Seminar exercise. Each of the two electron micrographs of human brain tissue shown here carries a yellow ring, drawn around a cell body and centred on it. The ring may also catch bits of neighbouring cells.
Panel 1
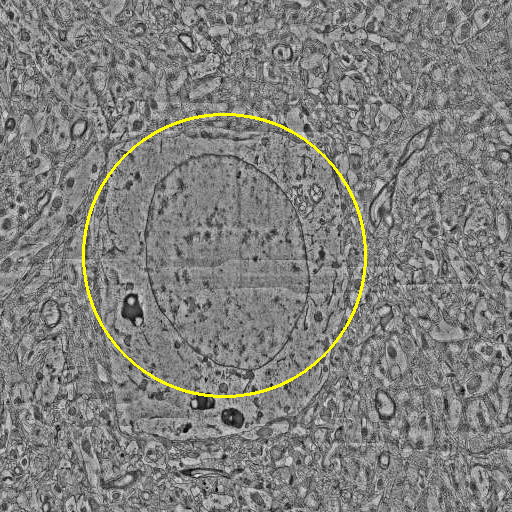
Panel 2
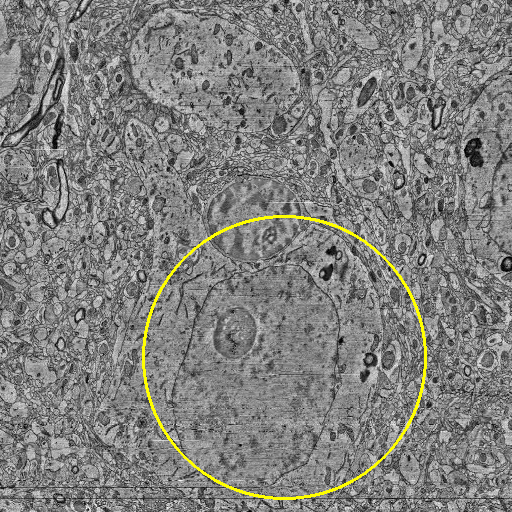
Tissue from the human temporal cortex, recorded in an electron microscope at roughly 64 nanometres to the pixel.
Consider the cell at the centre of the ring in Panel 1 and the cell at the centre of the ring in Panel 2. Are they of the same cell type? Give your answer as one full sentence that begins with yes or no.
Yes, both cells are of the same type.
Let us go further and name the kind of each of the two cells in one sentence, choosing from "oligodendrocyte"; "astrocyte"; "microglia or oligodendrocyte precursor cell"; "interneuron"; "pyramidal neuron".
Each cell, in the first picture and the second, is a pyramidal neuron.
